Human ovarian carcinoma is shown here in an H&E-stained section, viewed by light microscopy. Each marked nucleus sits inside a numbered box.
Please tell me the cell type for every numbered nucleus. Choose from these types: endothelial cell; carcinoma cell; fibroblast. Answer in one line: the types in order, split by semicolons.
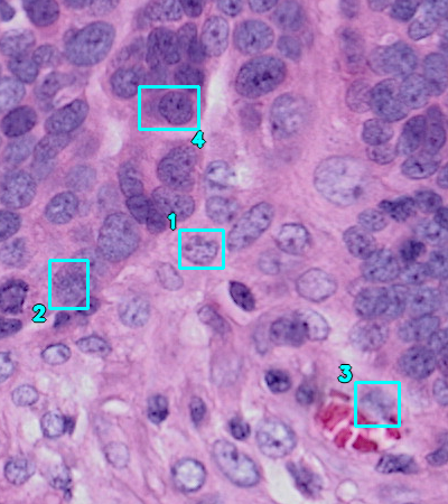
fibroblast; carcinoma cell; endothelial cell; carcinoma cell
